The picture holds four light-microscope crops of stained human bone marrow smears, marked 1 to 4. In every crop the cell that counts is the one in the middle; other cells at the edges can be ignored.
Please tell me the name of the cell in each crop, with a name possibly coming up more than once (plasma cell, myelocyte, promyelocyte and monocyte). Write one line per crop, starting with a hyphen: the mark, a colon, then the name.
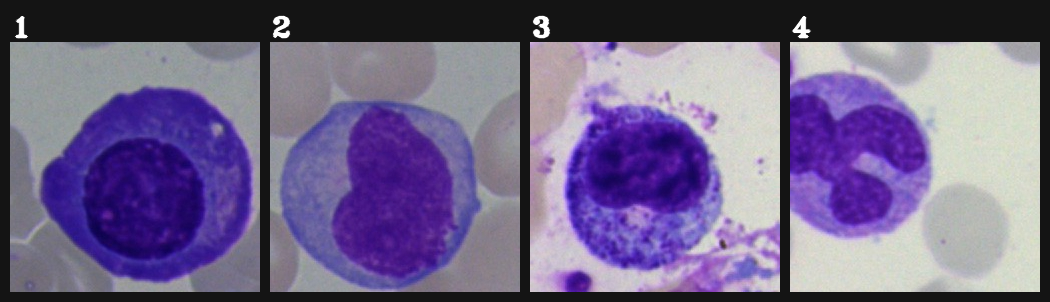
- 1: plasma cell
- 2: monocyte
- 3: promyelocyte
- 4: monocyte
